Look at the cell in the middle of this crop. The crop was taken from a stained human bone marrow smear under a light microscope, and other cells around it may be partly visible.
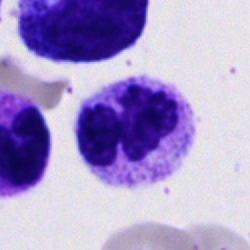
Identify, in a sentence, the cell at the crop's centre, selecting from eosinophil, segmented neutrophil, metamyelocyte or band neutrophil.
The cell at the heart of this crop is a segmented neutrophil.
